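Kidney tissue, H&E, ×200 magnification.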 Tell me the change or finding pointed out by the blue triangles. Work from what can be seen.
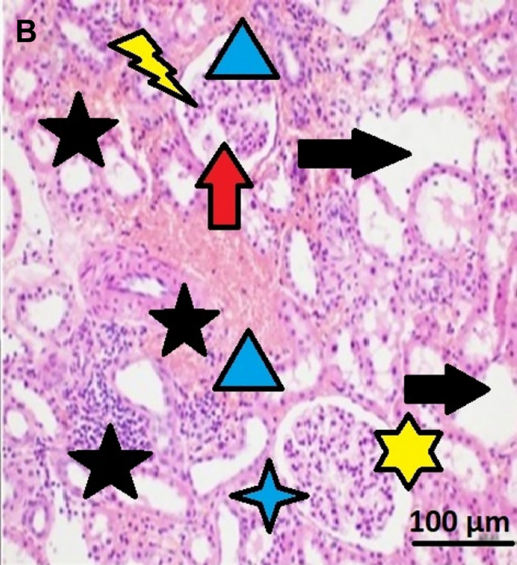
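A patch of homogeneous red-pink material lies in the interstitium between tubules. The red area has no tubular or glomerular structure within it. So: hemorrhage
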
